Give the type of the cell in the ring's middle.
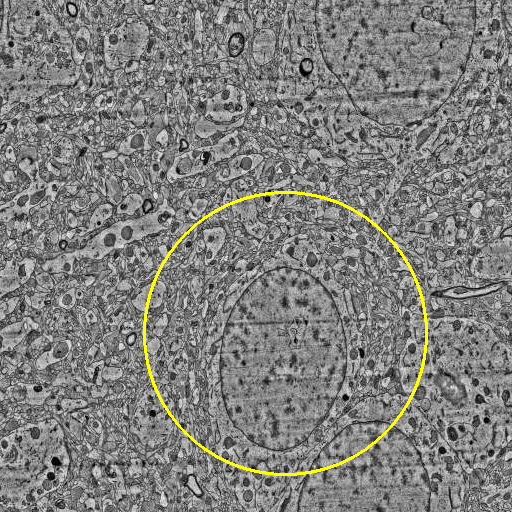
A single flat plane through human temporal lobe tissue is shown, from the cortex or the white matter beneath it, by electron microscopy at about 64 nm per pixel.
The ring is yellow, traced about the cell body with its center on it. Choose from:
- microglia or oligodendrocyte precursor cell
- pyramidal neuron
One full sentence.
Here, a pyramidal neuron is the cell lying at the center of the yellow ring.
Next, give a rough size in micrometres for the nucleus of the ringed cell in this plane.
The nucleus measures about 12 by 8 micrometres in this plane.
